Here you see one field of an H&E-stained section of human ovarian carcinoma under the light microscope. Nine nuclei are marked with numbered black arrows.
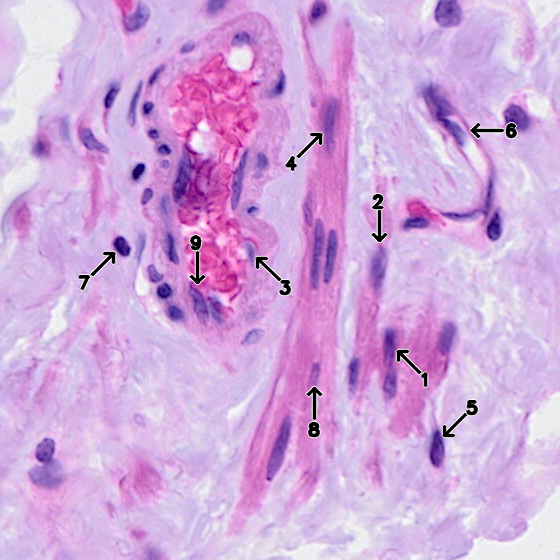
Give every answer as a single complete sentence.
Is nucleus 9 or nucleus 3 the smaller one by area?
With nucleus 9 about 2 times its size, nucleus 3 is the smaller of the two.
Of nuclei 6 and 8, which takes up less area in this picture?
With nucleus 6 about 2.5 times its size, nucleus 8 is the smaller of the two.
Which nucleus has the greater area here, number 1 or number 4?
Of the two, number 4 is bigger and takes up about 2 times the area of number 1.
